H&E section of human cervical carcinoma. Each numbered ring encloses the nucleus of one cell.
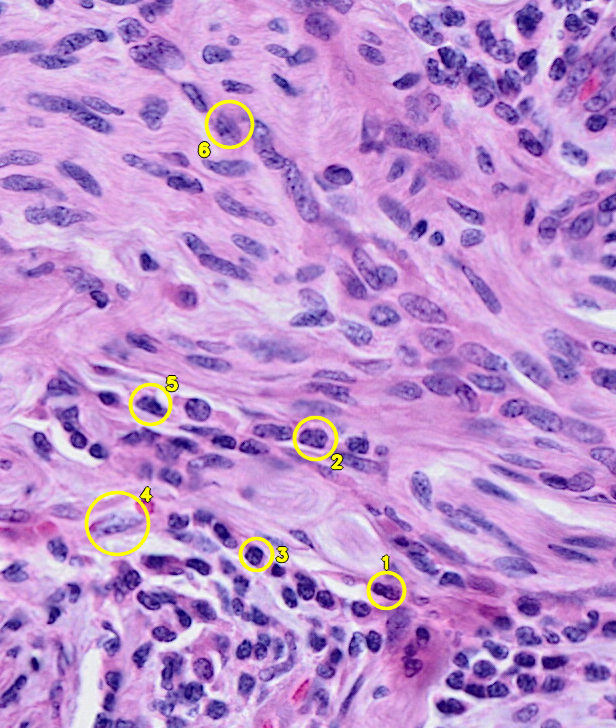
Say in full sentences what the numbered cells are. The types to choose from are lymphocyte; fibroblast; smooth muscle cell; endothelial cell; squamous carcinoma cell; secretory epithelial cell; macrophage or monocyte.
Cells 1, 2, 3 and 5 are lymphocytes. Cells 4 and 6 are endothelial cells.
